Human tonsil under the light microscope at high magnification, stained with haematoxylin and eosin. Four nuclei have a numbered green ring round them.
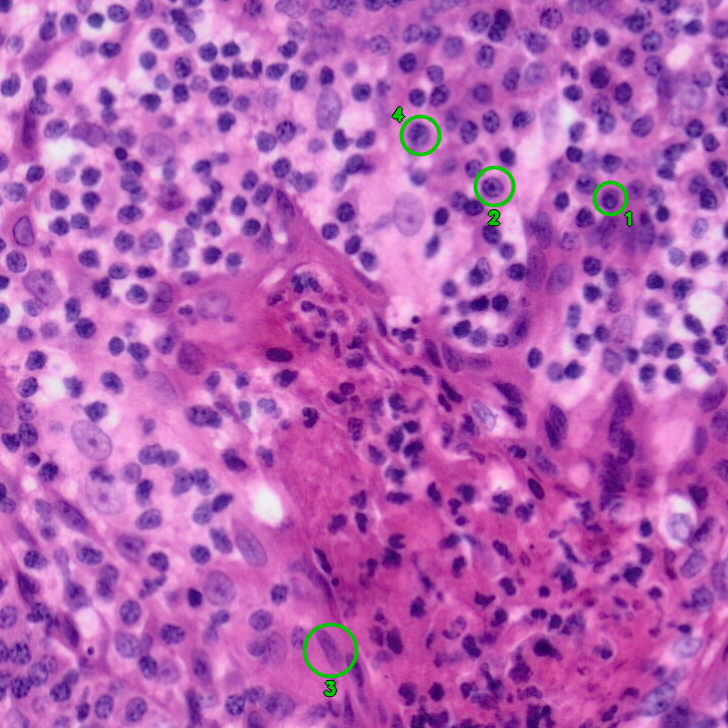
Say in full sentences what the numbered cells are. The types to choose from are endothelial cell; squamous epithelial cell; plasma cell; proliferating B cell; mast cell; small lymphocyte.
Cell 1 is a plasma cell, cell 2 is a plasma cell, cell 3 is a squamous epithelial cell and cell 4 is a plasma cell.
